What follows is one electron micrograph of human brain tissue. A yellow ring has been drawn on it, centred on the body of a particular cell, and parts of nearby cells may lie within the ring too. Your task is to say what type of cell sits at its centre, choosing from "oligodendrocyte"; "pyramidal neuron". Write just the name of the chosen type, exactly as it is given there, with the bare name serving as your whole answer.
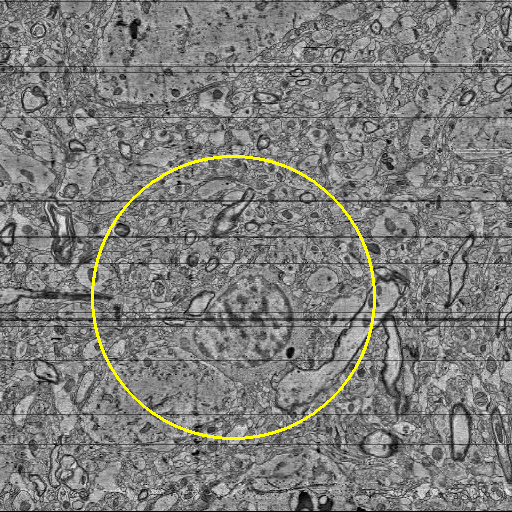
oligodendrocyte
